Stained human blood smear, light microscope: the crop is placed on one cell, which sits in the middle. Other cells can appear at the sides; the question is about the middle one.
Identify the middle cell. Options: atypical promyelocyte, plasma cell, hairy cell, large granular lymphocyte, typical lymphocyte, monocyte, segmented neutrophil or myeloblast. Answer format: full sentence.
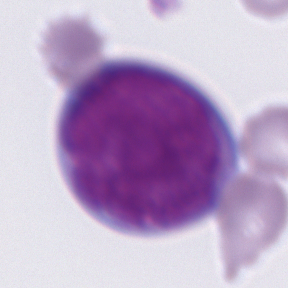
Answering briefly, the cell in the middle is a myeloblast.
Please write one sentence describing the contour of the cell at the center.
Thanks for asking; the cell edge is smooth and has no projections.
